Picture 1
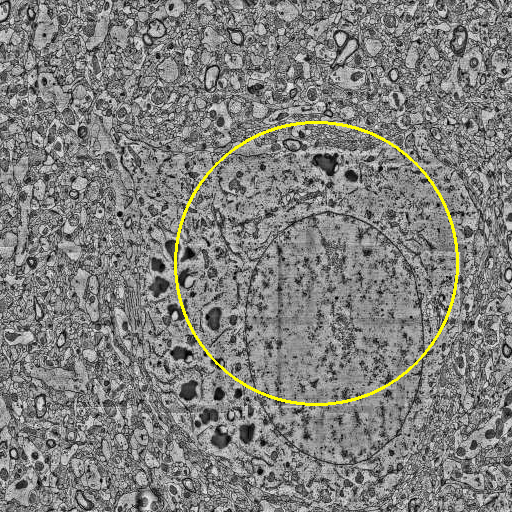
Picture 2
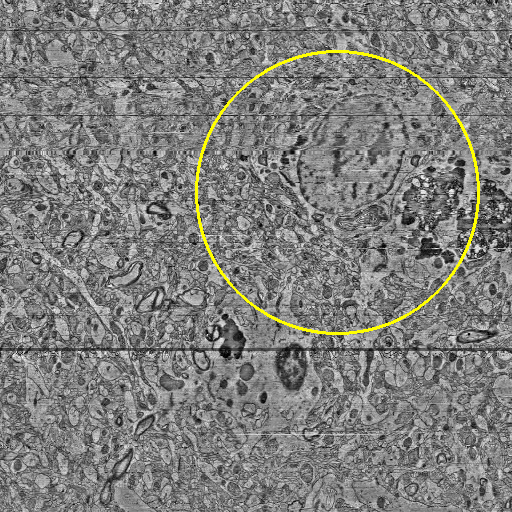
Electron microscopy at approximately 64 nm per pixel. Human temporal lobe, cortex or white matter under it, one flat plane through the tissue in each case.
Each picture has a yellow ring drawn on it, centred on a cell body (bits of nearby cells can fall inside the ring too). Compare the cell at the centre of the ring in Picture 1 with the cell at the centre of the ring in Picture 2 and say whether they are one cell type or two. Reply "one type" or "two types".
two types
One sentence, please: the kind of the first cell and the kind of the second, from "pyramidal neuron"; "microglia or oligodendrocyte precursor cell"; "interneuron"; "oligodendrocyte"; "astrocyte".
The ring in the first picture surrounds a pyramidal neuron, and the ring in the second surrounds an astrocyte.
